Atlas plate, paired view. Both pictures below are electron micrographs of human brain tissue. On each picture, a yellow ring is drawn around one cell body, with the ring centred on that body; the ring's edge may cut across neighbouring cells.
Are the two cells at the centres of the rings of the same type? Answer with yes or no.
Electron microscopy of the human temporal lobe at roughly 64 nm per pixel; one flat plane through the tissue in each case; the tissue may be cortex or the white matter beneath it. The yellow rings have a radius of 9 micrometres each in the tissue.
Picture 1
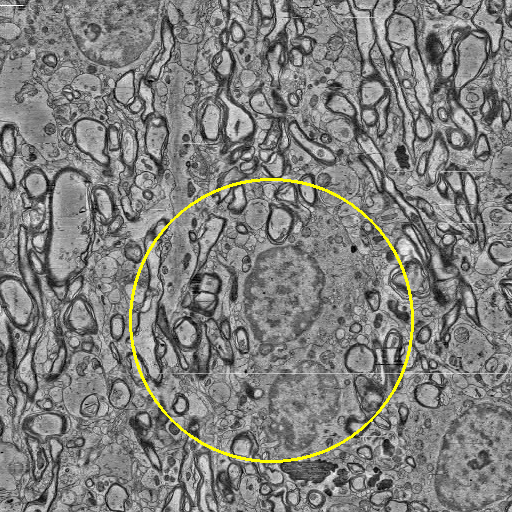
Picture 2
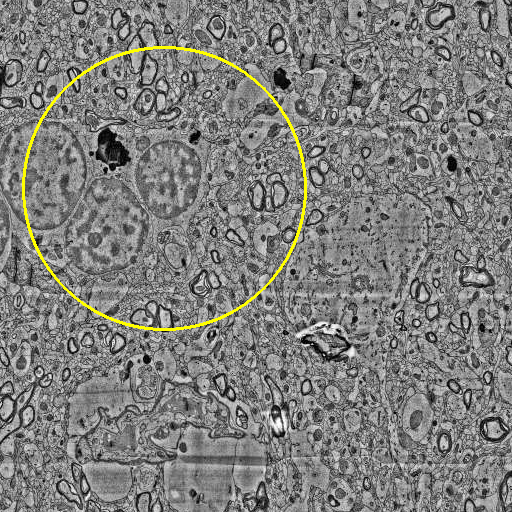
yes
